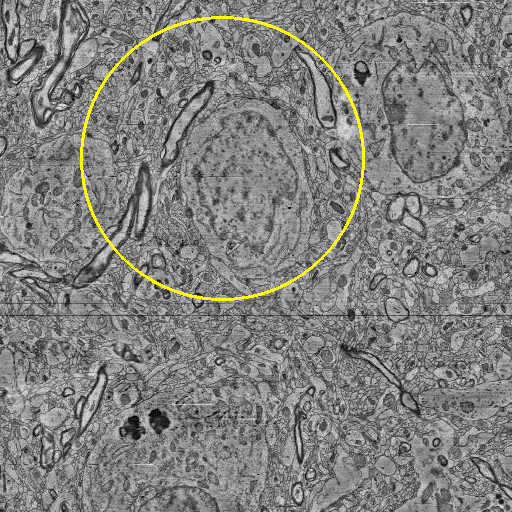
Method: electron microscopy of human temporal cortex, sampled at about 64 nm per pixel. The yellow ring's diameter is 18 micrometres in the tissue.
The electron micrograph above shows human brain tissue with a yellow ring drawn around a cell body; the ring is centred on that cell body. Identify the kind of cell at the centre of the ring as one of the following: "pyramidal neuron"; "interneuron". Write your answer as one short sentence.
The cell at the centre of the ring is an interneuron.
